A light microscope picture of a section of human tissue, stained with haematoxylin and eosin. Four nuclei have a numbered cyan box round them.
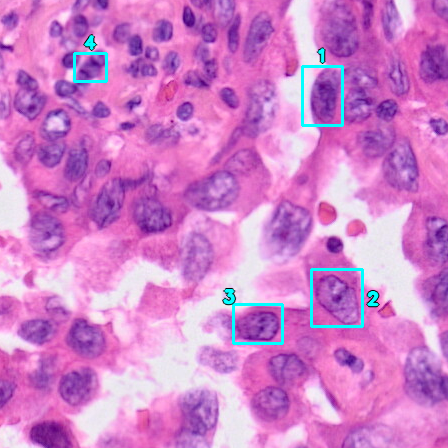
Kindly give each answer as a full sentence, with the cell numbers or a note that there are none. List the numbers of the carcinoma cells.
The cells marked 1, 2 and 3 in the section are carcinoma cells.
